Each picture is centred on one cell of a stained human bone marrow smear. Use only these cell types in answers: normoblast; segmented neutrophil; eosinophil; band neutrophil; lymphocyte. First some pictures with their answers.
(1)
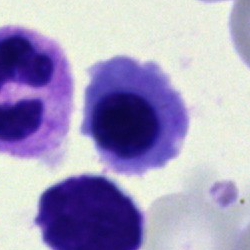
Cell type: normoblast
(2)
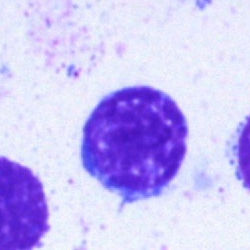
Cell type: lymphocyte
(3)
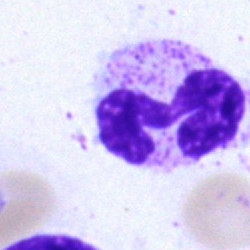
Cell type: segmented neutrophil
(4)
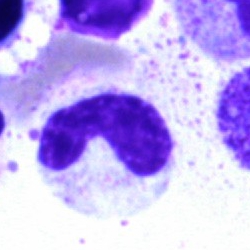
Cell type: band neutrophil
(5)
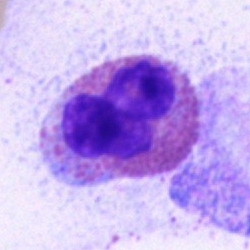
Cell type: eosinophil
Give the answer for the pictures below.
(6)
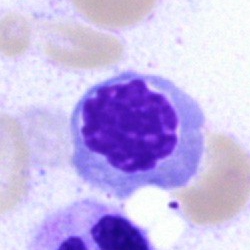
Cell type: normoblast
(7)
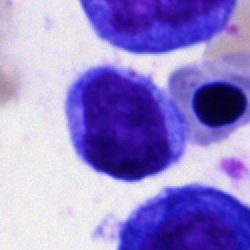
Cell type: lymphocyte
